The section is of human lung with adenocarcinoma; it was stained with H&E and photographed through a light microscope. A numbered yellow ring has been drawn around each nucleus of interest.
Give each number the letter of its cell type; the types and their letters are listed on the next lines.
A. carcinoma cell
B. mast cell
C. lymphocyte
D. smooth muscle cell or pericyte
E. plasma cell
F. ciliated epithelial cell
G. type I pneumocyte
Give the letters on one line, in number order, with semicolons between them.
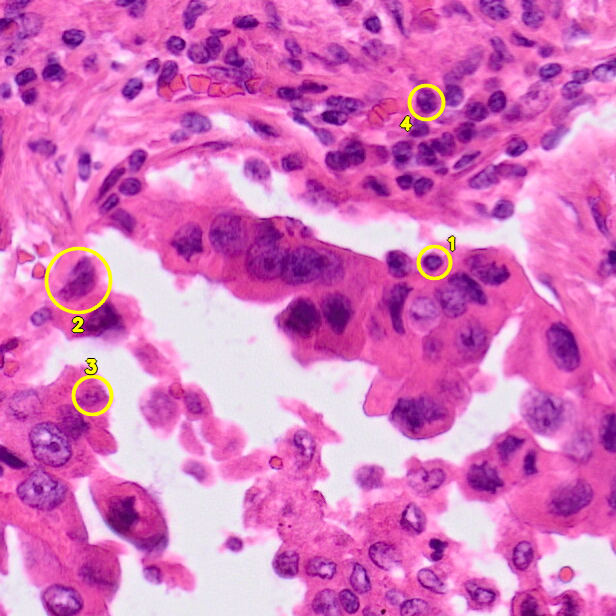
C; A; A; C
